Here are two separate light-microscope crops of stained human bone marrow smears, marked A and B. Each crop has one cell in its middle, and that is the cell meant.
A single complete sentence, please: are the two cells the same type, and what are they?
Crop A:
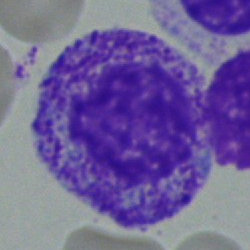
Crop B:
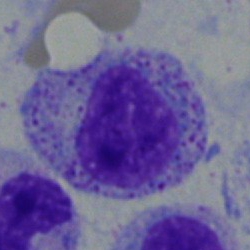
Yes, the middle cells in the two crops are myelocytes.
